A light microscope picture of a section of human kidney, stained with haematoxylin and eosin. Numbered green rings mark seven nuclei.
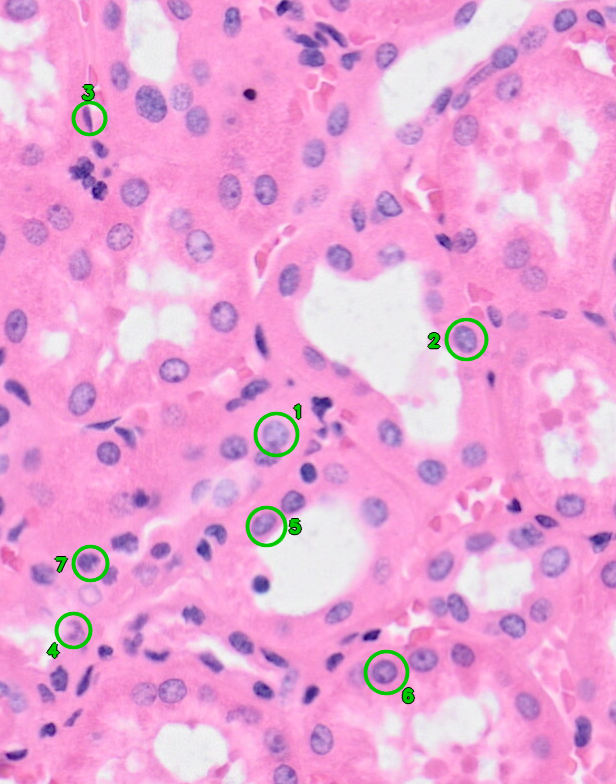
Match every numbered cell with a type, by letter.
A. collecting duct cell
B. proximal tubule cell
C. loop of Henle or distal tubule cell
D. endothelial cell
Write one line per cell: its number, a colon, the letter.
1: A
2: C
3: D
4: A
5: C
6: B
7: A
